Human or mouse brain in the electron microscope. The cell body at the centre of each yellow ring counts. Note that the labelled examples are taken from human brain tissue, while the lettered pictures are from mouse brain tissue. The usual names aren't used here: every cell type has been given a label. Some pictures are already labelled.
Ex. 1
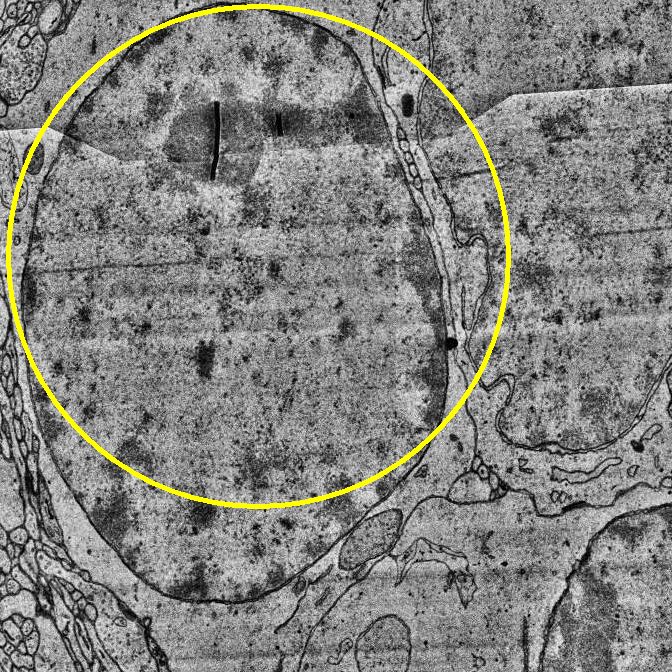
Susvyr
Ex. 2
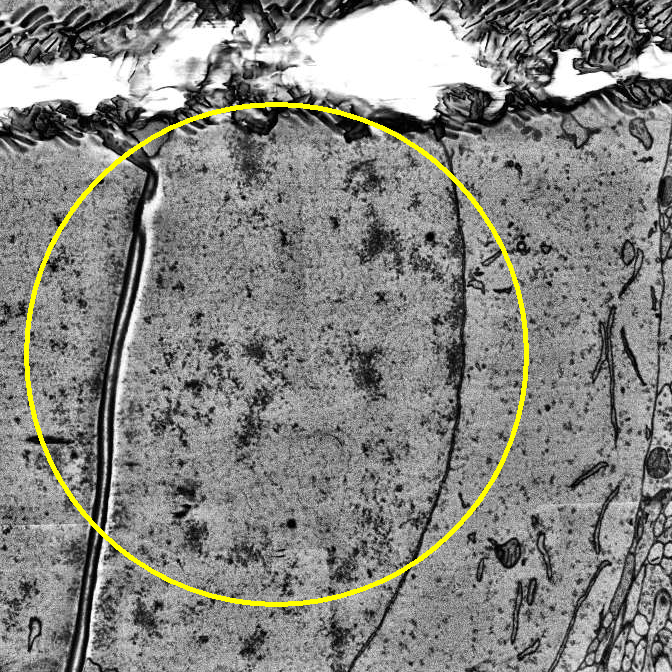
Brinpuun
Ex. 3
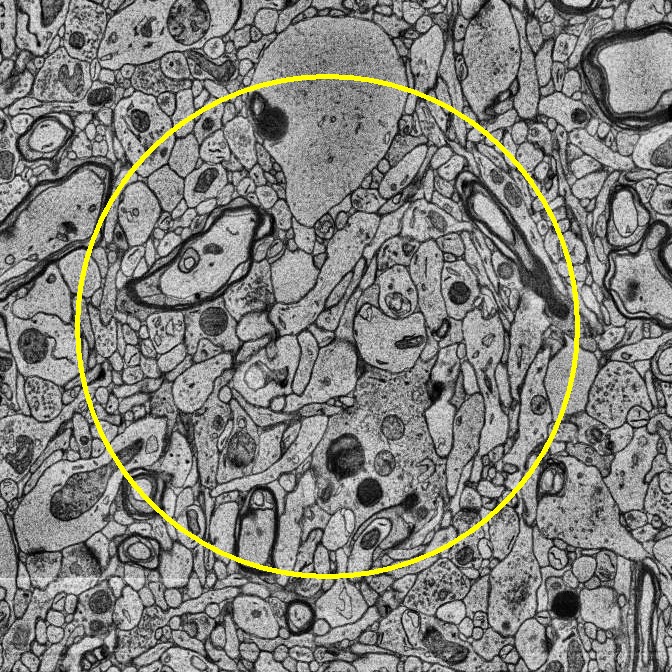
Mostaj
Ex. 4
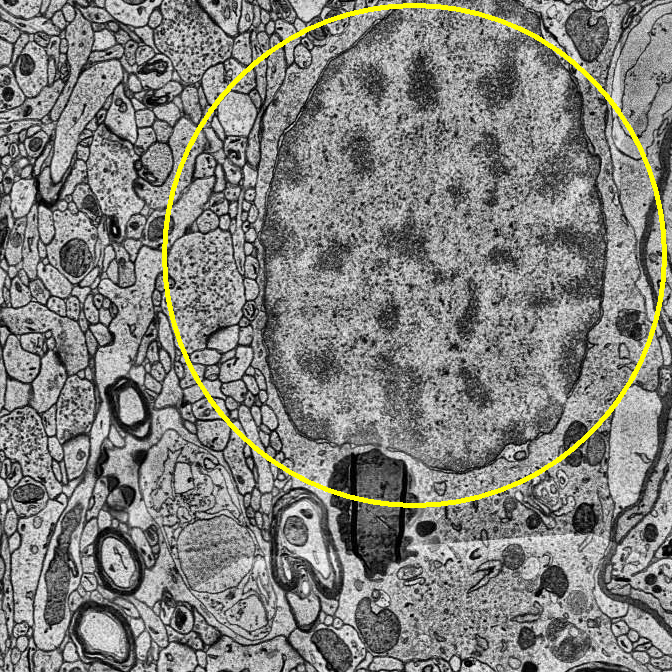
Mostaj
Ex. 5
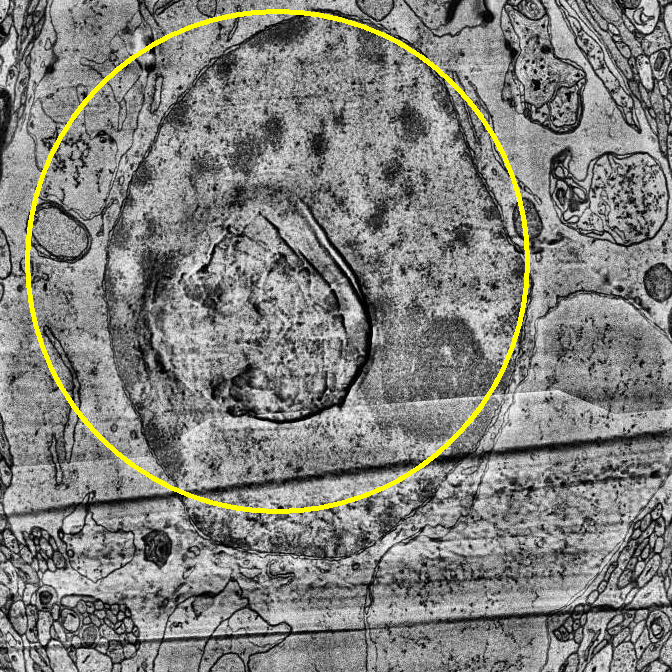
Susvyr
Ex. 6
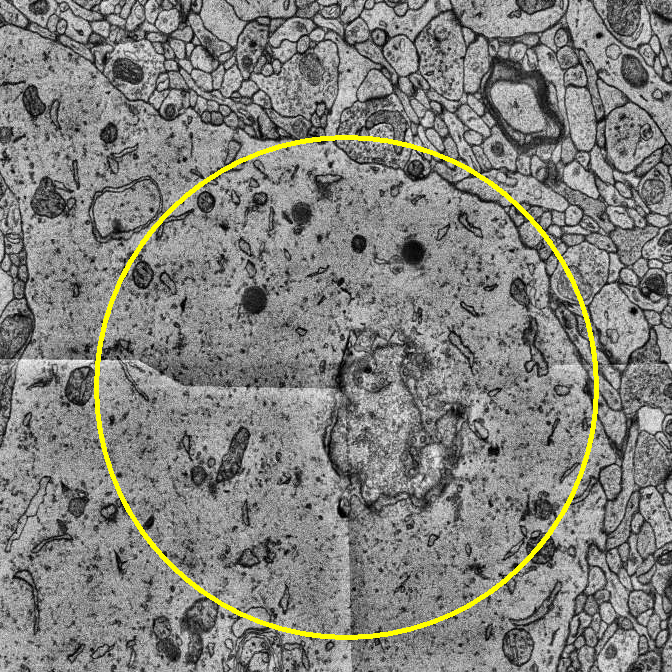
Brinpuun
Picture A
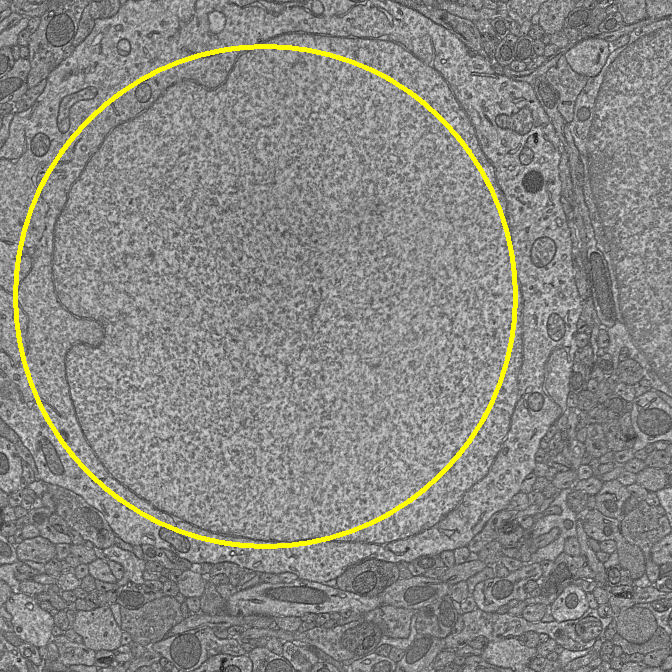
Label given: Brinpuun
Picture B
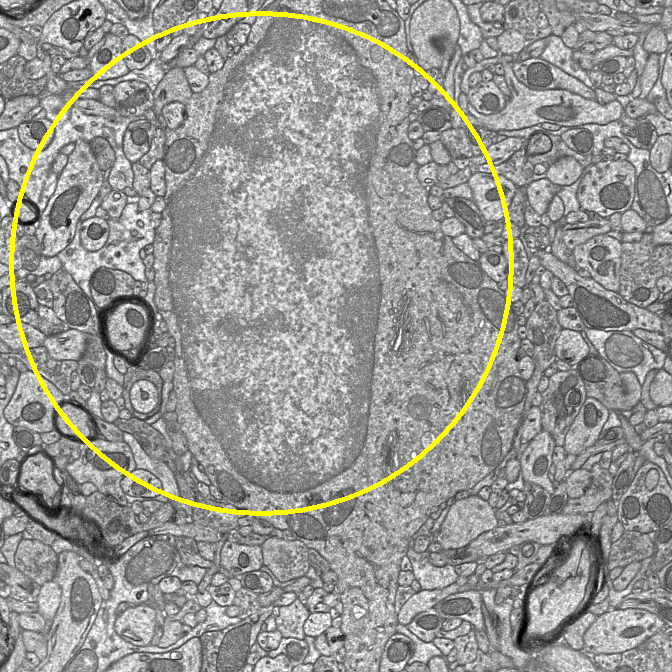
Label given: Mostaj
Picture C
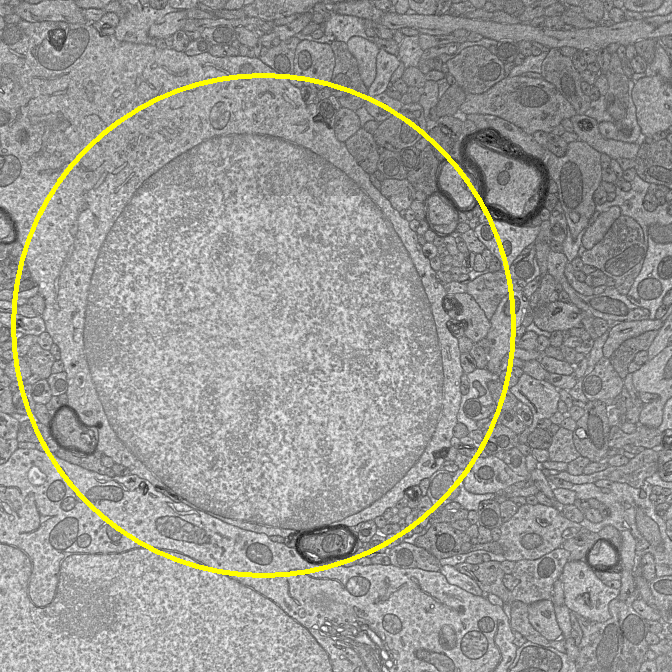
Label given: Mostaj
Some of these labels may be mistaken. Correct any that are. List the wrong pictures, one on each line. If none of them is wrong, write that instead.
All correct.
